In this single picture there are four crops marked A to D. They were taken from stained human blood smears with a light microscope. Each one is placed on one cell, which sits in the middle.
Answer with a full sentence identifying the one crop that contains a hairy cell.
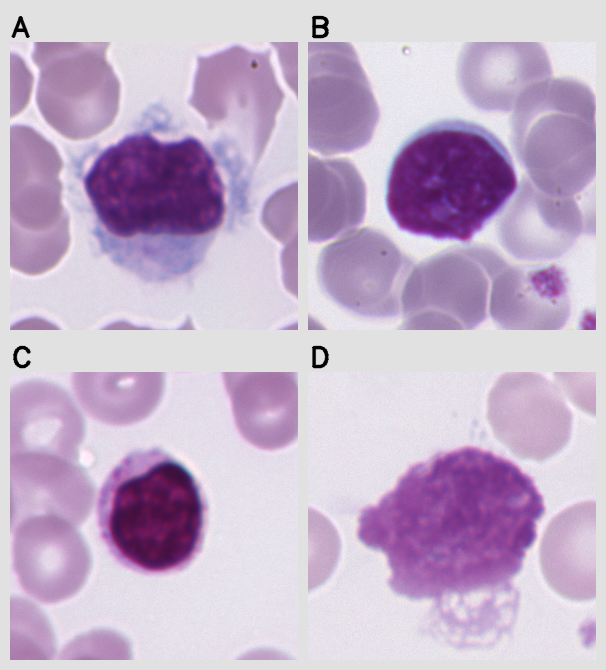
The cell identified as a hairy cell is the one in crop A.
